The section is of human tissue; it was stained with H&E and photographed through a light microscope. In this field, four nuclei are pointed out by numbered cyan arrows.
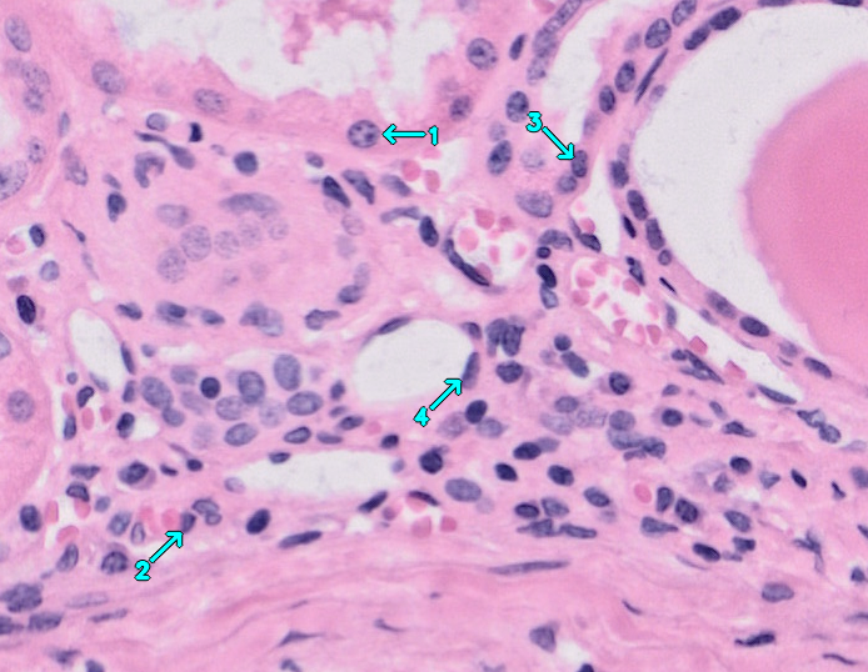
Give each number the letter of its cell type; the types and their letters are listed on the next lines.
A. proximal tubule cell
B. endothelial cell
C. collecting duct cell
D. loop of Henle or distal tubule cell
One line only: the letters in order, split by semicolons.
A; B; C; B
